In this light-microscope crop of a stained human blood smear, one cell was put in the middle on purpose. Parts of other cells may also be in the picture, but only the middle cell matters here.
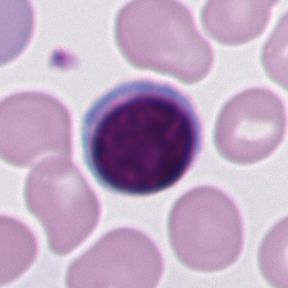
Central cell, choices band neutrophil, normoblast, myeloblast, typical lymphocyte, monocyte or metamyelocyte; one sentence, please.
Whatever else lies nearby, the middle cell is a typical lymphocyte.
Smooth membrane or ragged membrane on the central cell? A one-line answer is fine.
The cell shows a smooth outline that lacks any surface projections.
